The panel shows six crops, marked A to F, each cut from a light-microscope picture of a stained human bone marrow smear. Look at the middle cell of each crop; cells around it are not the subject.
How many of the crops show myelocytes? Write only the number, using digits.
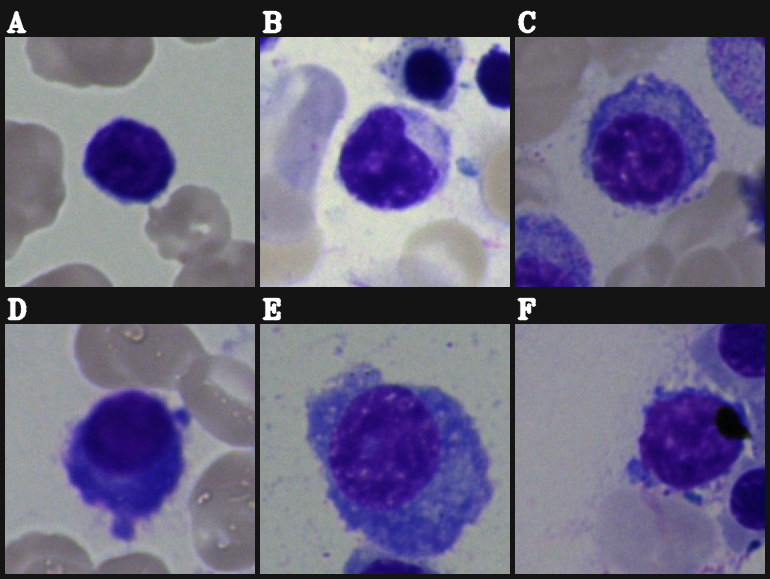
0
